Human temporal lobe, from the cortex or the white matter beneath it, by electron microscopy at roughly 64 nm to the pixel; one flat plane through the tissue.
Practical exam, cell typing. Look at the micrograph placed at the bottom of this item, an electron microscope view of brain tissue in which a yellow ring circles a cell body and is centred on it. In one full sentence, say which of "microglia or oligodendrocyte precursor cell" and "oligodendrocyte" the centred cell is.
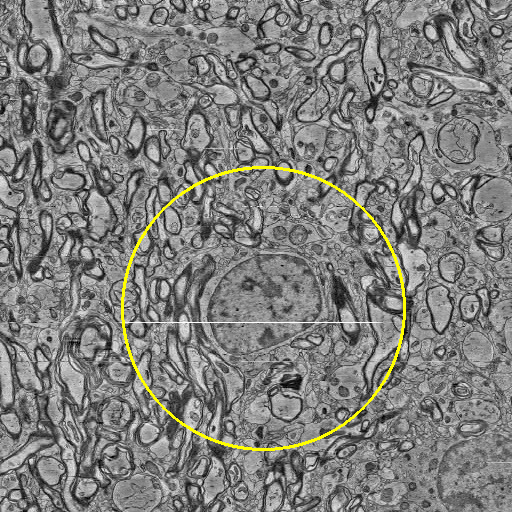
Given the options, a microglial cell or oligodendrocyte precursor cell fits the cell whose body the yellow ring is centred on.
